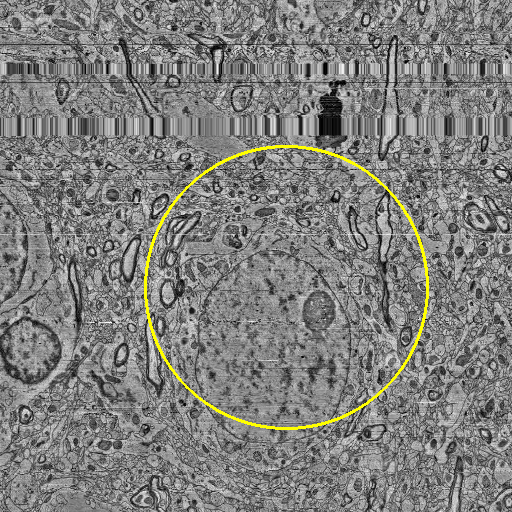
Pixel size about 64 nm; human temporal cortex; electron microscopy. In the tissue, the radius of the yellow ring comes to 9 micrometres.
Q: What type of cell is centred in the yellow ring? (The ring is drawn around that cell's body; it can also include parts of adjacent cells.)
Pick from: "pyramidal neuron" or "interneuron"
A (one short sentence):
The yellow ring is centred on a pyramidal neuron.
